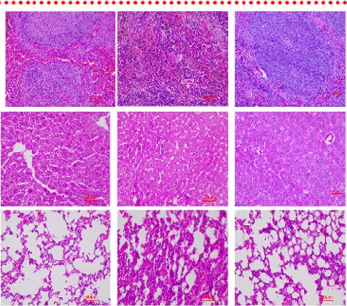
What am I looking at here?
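The top row shows spleen, with dense blue-staining lymphoid cells gathered into rounded nodules surrounded by looser, redder tissue. The middle row shows liver, made of pink-staining hepatocytes in sheets with small vascular spaces between them. The bottom row shows lung, with many open air spaces separated by thin pink septa, and in one image the septa look thicker and more crowded with cells, so the air spaces are smaller.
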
